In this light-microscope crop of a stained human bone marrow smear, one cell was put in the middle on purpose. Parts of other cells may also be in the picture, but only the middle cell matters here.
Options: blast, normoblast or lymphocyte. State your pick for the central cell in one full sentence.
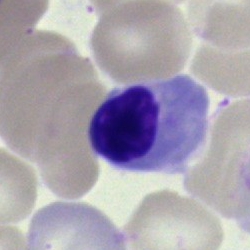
In this crop, the cell at the very middle is a normoblast.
